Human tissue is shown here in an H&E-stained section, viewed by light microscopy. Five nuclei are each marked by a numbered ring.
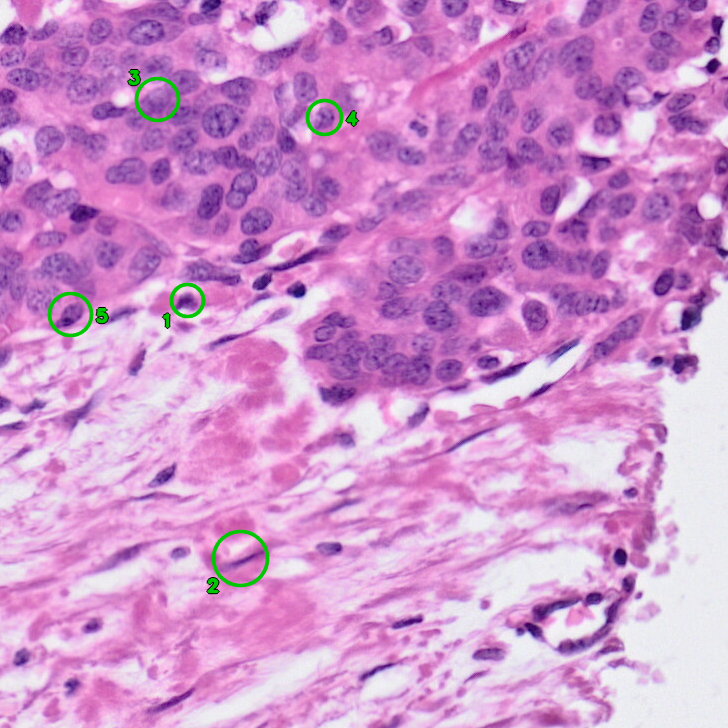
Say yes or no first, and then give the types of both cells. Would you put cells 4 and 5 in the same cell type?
Yes, within the numbered set, cells 4 and 5 are both macrophages or monocytes.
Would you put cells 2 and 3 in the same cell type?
No, unlike cell 3, which is a carcinoma cell, cell 2 is a fibroblast.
